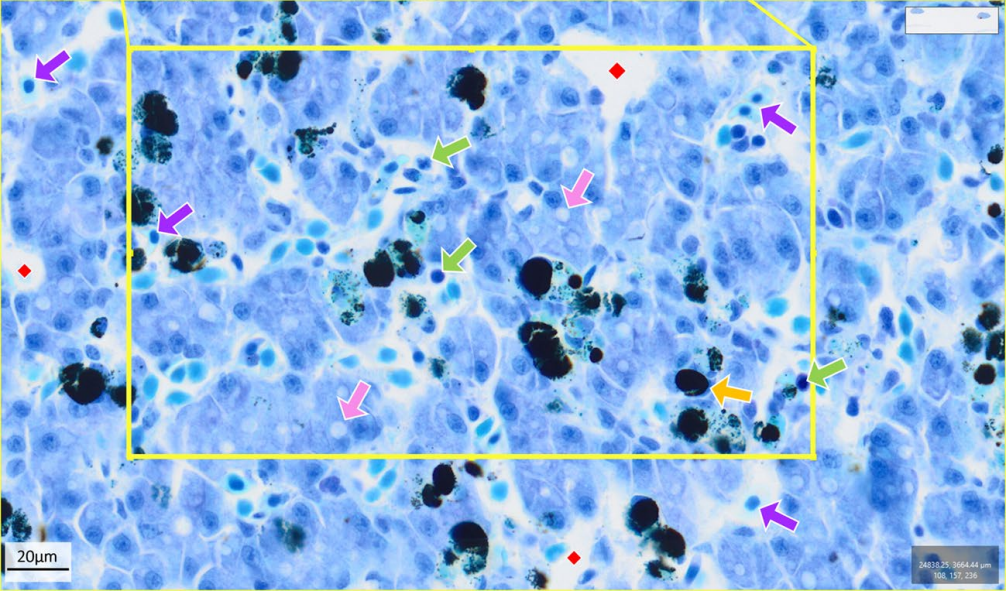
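Liver tissue in which pale blue polygonal hepatocytes with round nuclei form cords separated by narrow pale sinusoids. Scattered among the hepatocytes are clusters of pigmented macrophages, appearing as black round masses or as aggregates of fine black granules with some greenish material. Small oval cells with dark central nuclei, the erythrocytes, lie in the sinusoidal spaces, together with small round darkly stained immune cells. Some hepatocytes contain clear, unstained round vacuoles in their cytoplasm. Several bright turquoise-stained oval cells lie along the spaces between the cords.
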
